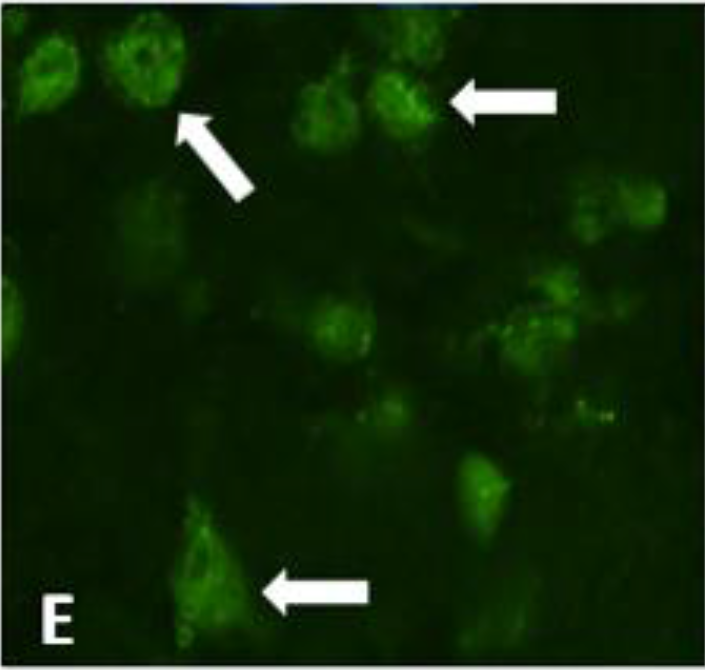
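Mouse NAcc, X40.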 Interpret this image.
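Neurons of the nucleus accumbens show as rounded and triangular cell bodies with a granular green label against a dim green background. The label is concentrated in round, nucleus-sized areas and is speckled rather than even, and scattered fine green dots lie between the cells.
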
